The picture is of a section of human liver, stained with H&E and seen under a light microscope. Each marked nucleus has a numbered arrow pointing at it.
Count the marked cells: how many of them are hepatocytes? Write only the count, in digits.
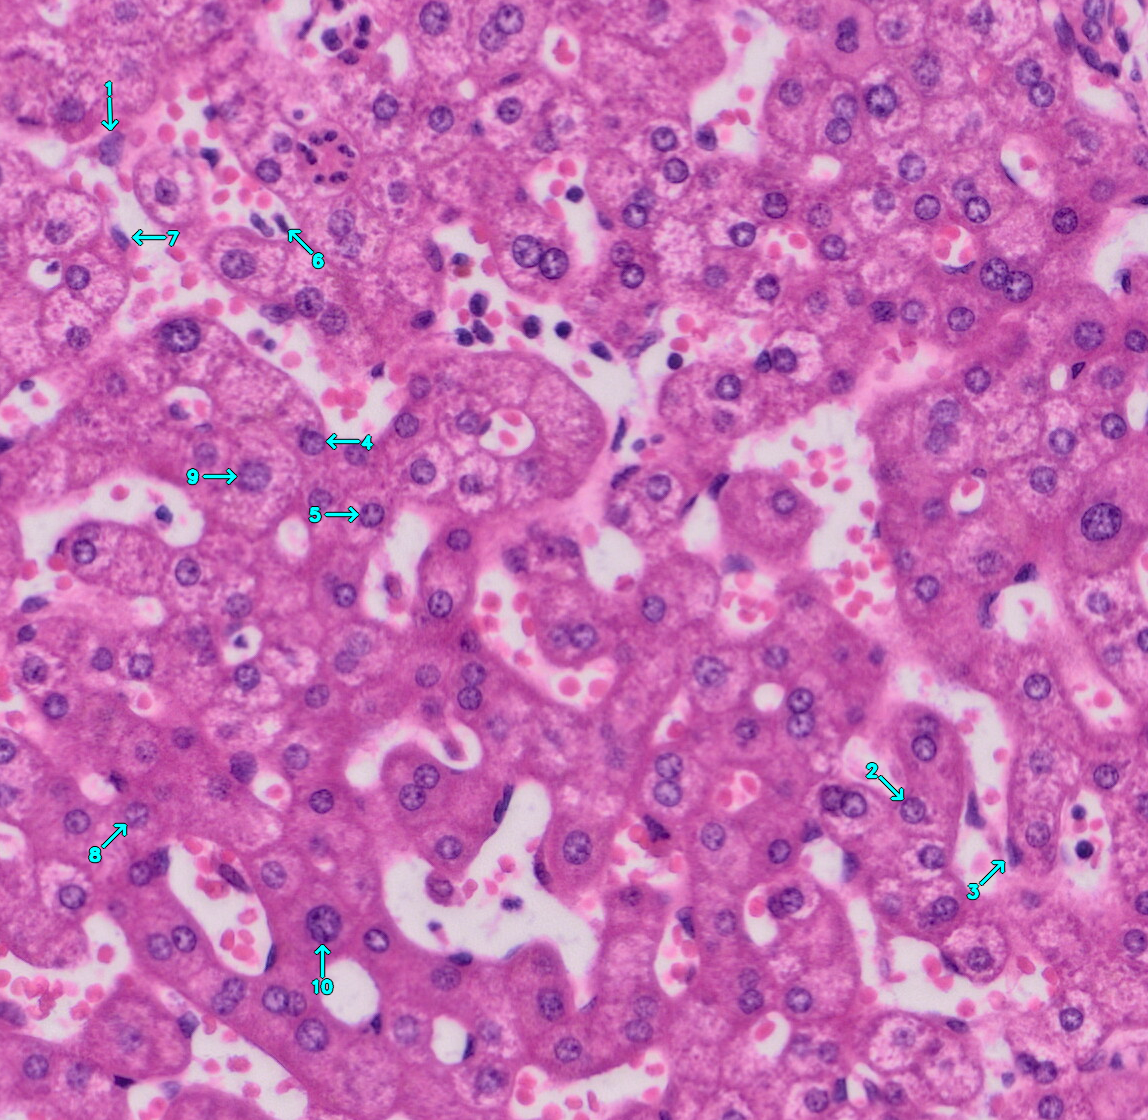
6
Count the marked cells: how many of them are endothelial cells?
1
